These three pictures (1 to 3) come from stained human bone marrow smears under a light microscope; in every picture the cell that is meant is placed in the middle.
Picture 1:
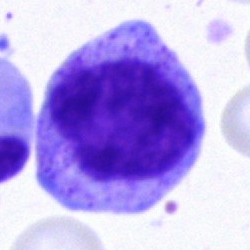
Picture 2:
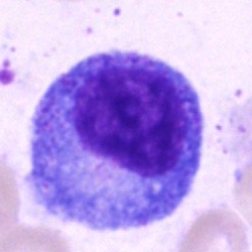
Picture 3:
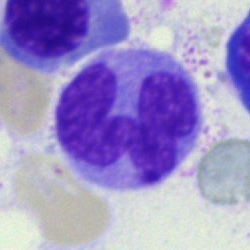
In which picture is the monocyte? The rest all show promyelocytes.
3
